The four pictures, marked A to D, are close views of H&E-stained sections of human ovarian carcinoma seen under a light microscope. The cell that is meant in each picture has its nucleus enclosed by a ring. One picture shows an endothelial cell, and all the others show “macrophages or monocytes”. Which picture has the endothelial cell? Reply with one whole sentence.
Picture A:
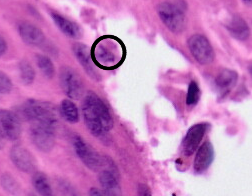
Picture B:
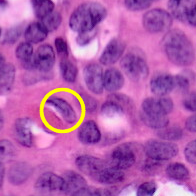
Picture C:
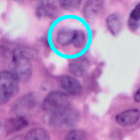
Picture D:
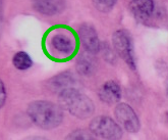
Picture B shows the endothelial cell.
